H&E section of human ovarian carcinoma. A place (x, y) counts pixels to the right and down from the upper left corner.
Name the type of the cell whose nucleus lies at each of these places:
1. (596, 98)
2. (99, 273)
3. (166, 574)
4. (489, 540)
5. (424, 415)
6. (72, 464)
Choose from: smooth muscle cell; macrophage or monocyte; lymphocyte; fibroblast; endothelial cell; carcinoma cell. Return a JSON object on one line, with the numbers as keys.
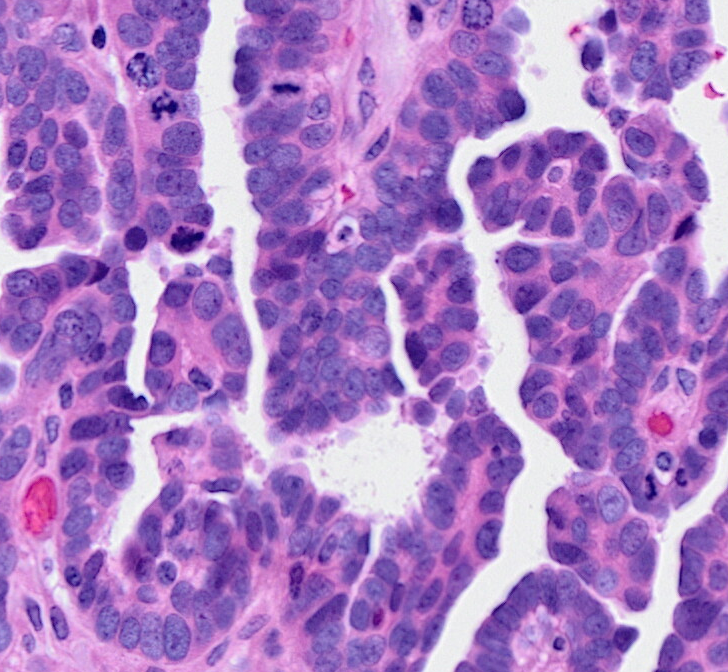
{"1": "macrophage or monocyte", "2": "carcinoma cell", "3": "macrophage or monocyte", "4": "carcinoma cell", "5": "carcinoma cell", "6": "carcinoma cell"}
